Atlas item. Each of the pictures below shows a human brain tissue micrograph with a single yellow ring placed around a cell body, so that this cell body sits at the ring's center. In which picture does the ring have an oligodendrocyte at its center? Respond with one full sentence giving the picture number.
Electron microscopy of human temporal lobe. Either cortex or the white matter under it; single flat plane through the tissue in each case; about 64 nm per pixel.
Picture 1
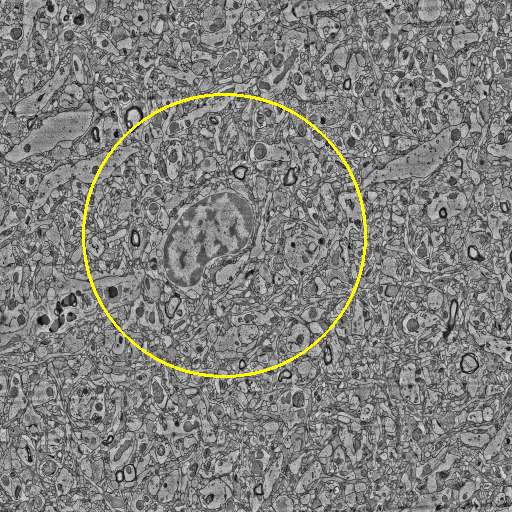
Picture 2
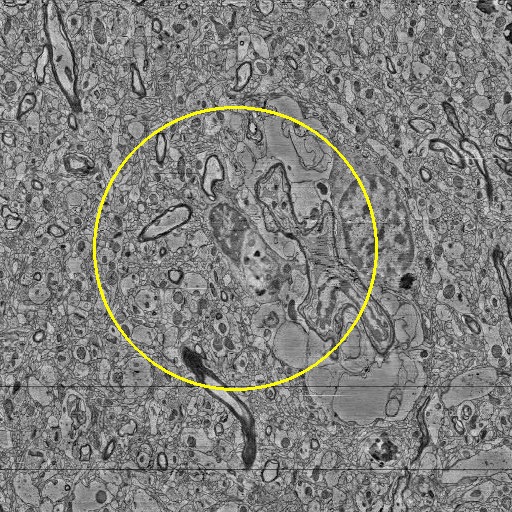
The cell at the ring's center that fits lies in picture 2.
